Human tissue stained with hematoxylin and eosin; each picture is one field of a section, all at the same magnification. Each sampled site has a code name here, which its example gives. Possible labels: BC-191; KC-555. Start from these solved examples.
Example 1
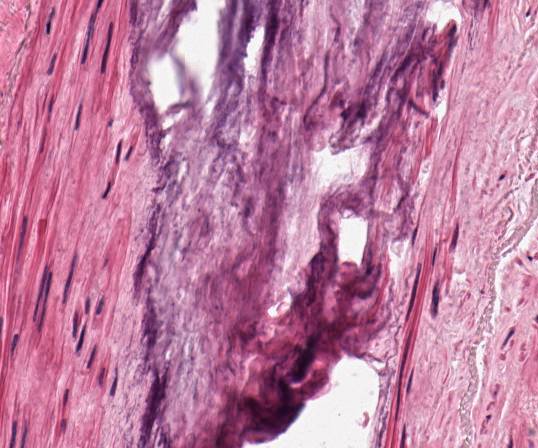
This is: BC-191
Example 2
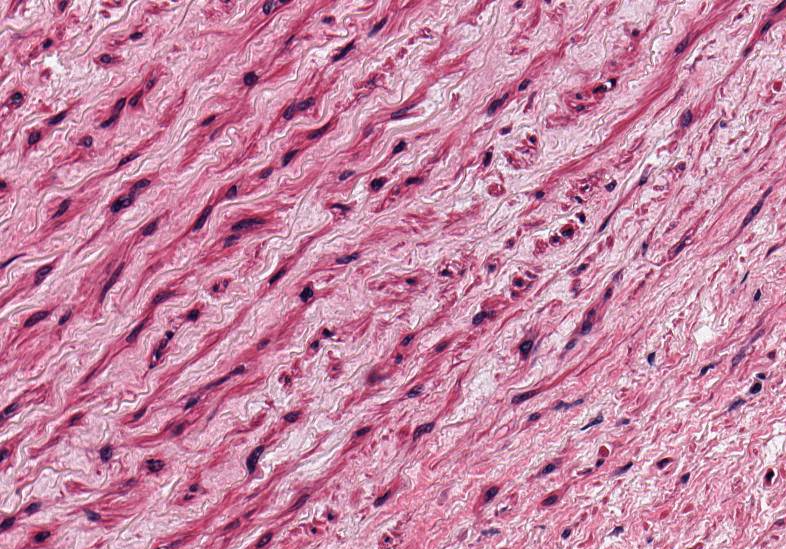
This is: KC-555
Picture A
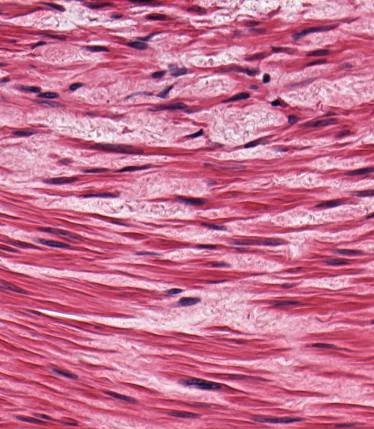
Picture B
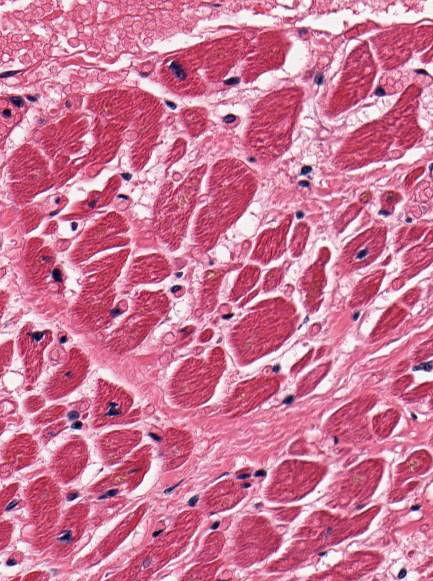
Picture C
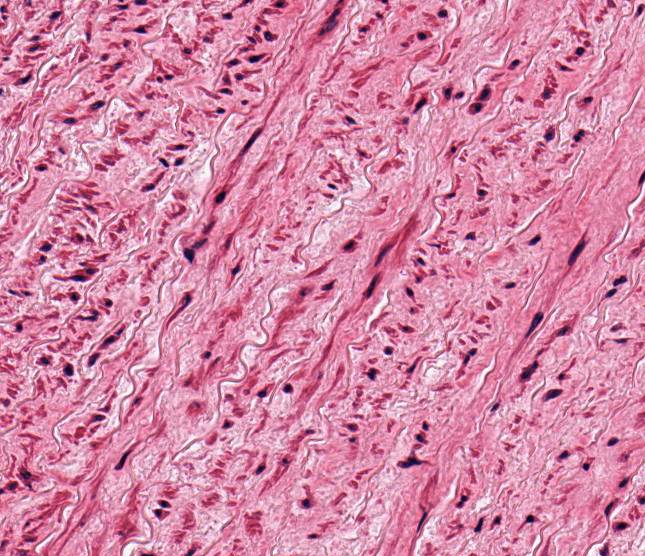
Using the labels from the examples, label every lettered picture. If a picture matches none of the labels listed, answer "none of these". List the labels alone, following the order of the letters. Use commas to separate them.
BC-191, none of these, KC-555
